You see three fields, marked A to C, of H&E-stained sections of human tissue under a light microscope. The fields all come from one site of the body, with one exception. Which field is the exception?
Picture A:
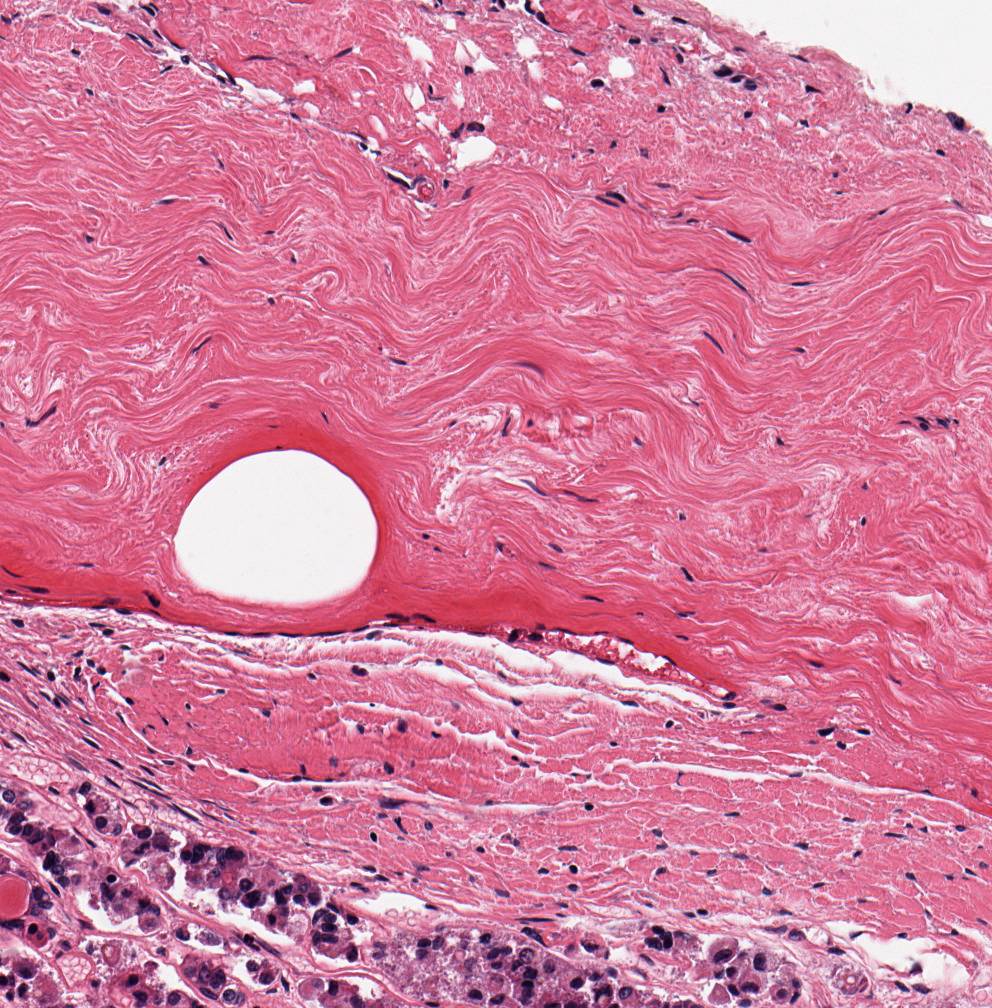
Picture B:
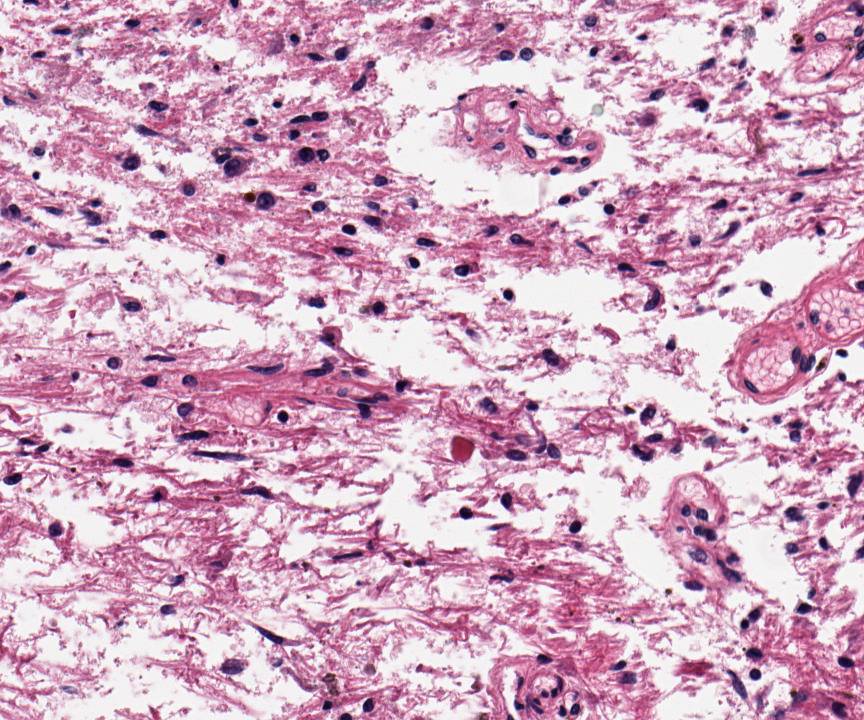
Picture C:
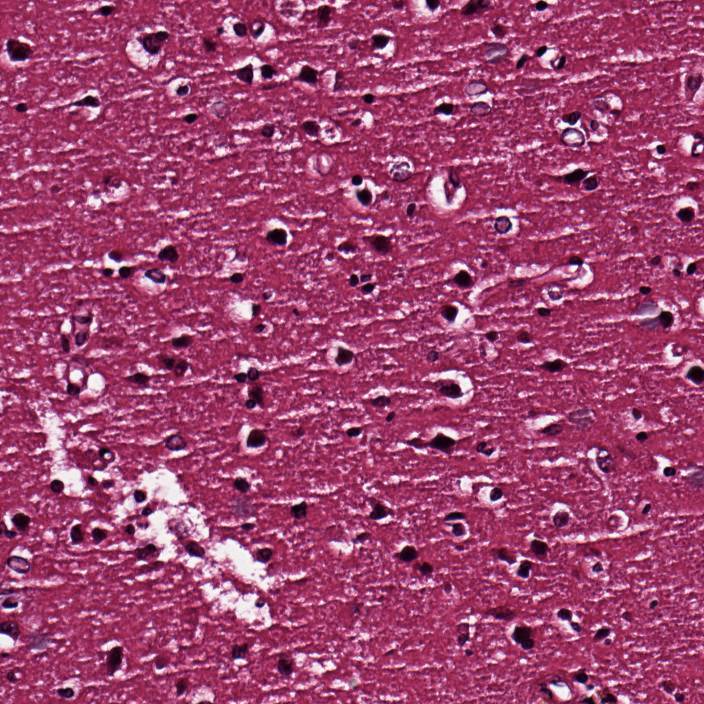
C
